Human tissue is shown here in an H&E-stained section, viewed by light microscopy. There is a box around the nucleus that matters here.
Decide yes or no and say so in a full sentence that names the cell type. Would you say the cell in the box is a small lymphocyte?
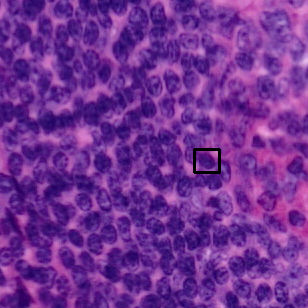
Yes, the statement that the cell in the box is a small lymphocyte is correct.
